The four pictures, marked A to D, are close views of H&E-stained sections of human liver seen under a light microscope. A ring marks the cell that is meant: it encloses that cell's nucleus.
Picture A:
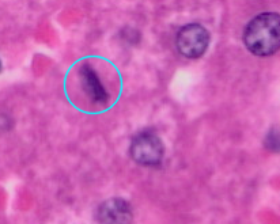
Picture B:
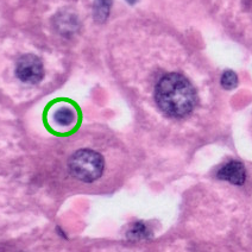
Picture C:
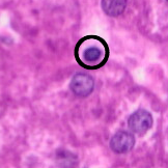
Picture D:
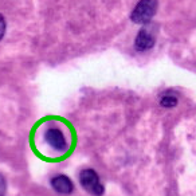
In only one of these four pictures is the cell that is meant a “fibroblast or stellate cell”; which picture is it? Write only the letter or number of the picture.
A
